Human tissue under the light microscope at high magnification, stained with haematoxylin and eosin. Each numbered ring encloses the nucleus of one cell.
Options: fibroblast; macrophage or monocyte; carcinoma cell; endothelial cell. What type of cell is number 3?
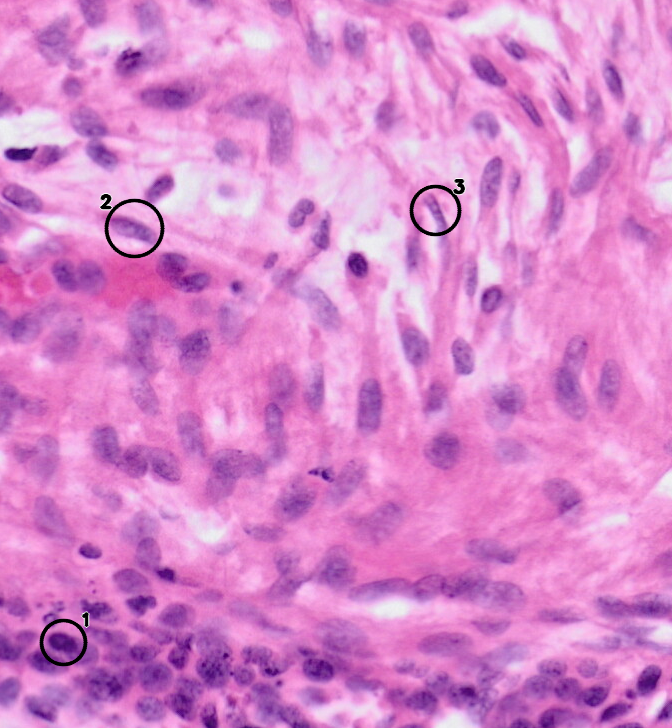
fibroblast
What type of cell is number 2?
fibroblast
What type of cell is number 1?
carcinoma cell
